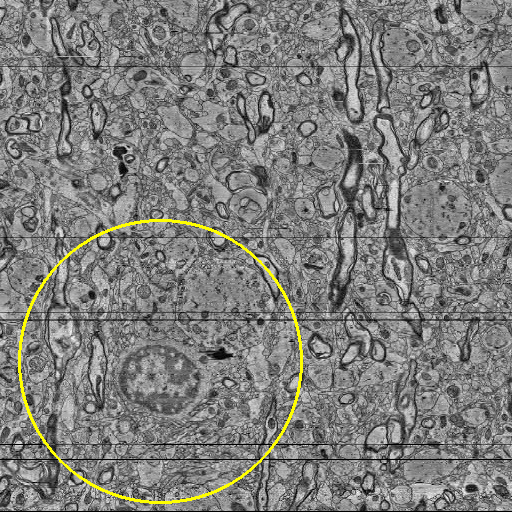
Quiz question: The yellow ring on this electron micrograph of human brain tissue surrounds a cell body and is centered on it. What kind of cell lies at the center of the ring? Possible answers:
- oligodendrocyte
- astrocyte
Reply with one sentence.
The ring's center lies on an oligodendrocyte.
